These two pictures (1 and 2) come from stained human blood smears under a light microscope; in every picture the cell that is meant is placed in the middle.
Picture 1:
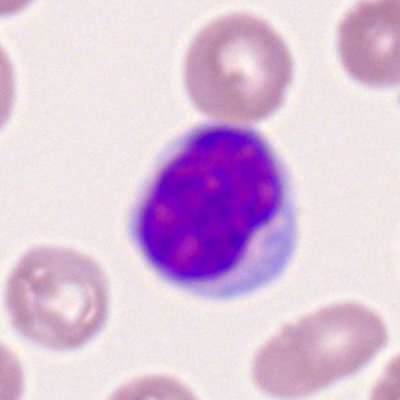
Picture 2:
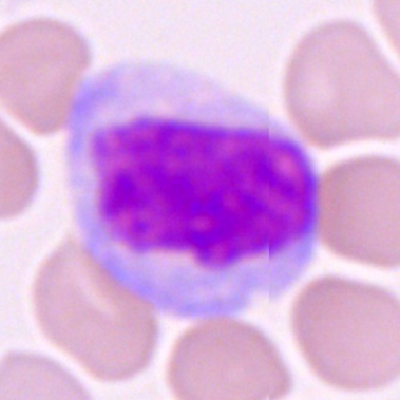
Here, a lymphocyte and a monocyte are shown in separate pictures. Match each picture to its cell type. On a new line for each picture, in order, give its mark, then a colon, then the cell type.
1: lymphocyte
2: monocyte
